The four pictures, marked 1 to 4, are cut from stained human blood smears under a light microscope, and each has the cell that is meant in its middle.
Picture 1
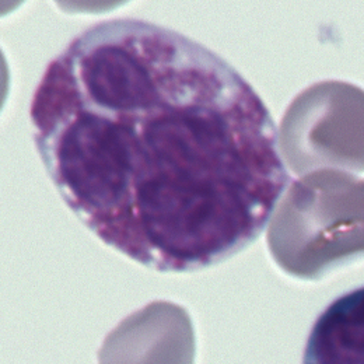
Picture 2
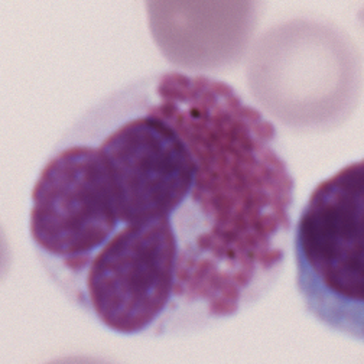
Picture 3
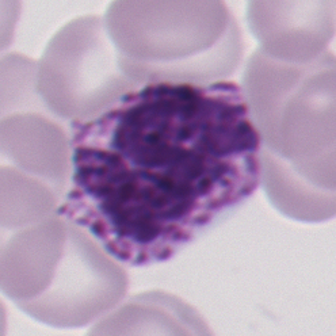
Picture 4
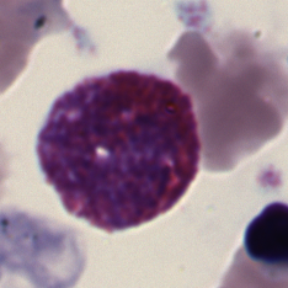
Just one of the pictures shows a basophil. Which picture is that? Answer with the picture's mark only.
3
